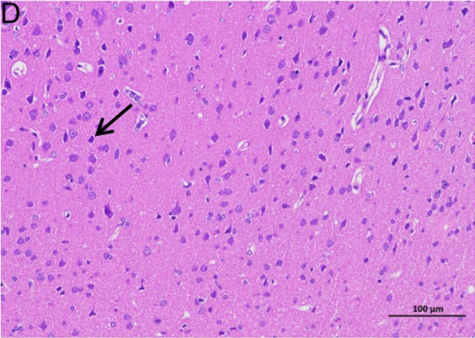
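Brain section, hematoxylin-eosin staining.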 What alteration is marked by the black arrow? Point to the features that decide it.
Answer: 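The arrowed cells are shrunken and angular. They are stained dark purple throughout. No pale nucleus can be told from the cytoplasm in them.
Answer: pyknotic and deeply stained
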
